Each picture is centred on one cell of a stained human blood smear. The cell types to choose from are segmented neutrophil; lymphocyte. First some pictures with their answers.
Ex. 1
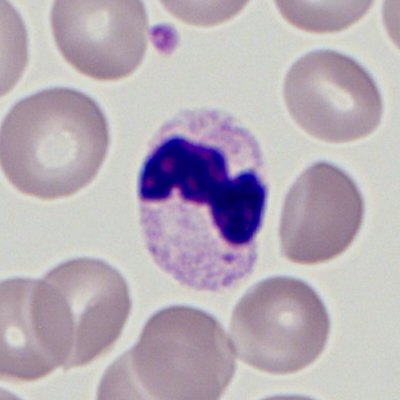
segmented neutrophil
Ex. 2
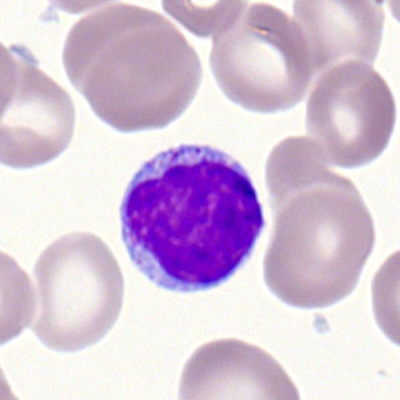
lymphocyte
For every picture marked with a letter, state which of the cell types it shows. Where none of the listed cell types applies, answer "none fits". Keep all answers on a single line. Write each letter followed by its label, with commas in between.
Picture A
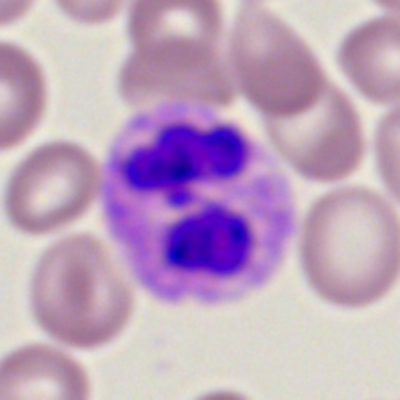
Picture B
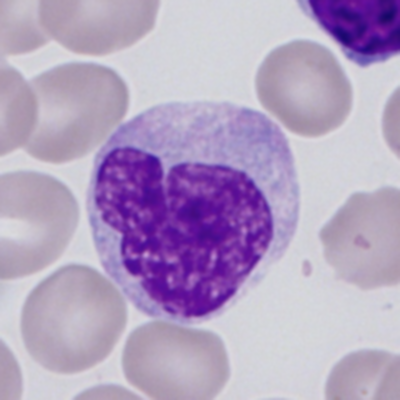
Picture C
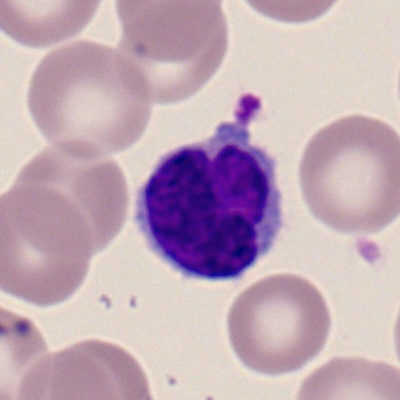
A segmented neutrophil, B none fits, C lymphocyte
